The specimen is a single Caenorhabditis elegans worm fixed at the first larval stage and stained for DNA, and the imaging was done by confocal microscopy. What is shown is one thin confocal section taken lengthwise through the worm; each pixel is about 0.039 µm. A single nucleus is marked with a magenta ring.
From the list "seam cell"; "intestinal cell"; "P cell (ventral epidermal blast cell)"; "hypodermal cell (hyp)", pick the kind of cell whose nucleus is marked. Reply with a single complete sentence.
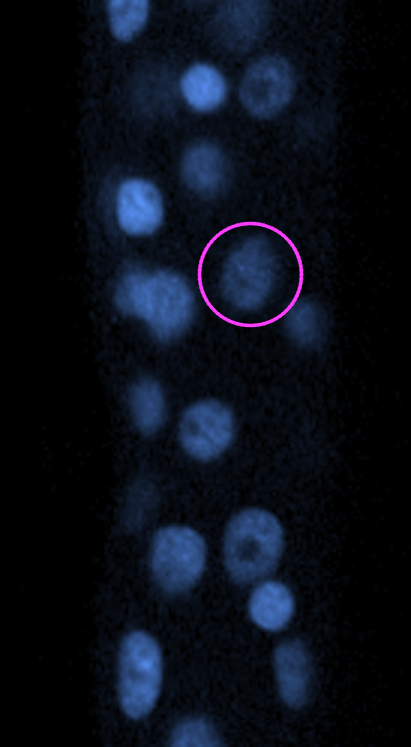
The cell with the marked nucleus is a hypodermal cell (hyp).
